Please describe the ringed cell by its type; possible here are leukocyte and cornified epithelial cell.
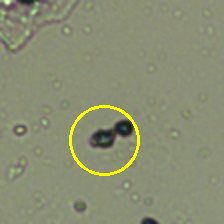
The yellow ring marks a leukocyte.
